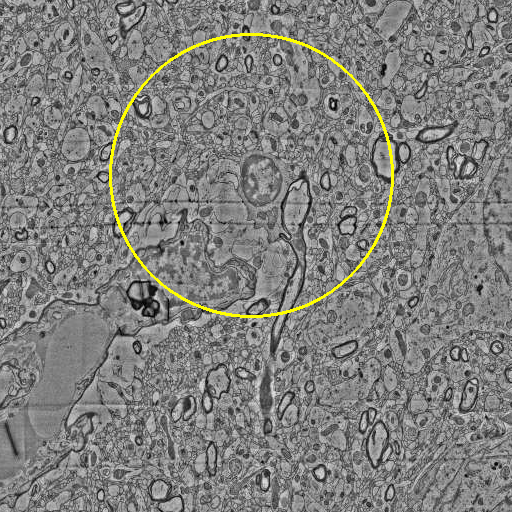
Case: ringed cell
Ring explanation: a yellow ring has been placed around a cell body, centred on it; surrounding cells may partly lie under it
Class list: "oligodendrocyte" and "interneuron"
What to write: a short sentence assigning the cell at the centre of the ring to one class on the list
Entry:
The cell at the ring's centre is an oligodendrocyte.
